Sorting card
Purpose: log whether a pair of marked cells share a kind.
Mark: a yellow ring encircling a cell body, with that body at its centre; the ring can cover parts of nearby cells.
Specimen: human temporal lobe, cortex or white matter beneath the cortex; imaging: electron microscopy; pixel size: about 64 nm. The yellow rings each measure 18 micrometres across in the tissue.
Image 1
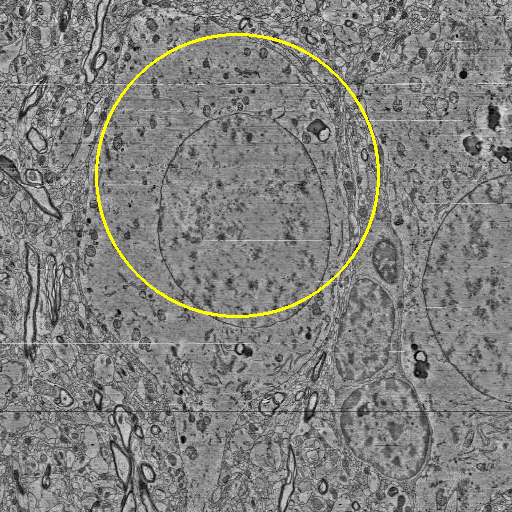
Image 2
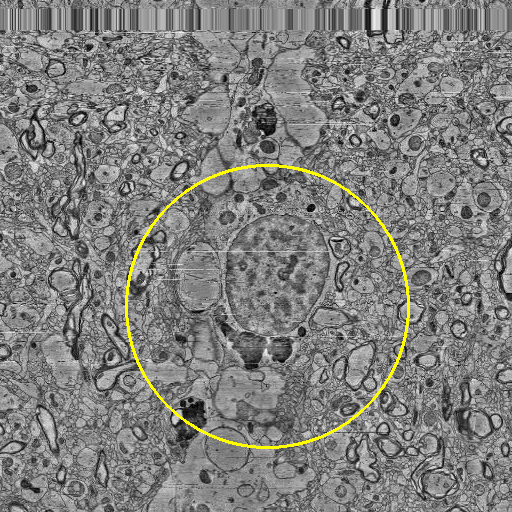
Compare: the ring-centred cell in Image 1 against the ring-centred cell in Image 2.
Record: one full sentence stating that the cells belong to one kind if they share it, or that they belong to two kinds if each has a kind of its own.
Across Images 1 and 2, the two ring-centred cells belong to two kinds.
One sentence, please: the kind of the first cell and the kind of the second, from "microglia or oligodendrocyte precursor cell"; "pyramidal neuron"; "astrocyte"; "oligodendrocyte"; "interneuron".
The ring in the first picture surrounds a pyramidal neuron, and the ring in the second surrounds an oligodendrocyte.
